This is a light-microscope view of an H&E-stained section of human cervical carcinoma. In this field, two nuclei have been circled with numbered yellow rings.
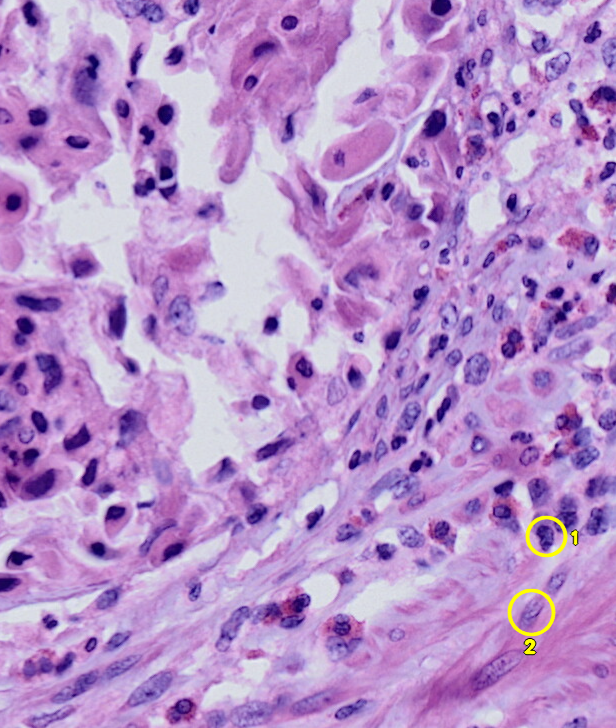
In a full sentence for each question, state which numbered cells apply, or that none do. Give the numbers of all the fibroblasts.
Concerning the numbered cells, no fibroblasts are among them.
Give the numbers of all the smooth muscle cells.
Cell number 2 alone is a smooth muscle cell; the rest are not.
